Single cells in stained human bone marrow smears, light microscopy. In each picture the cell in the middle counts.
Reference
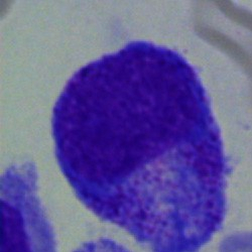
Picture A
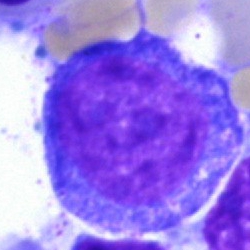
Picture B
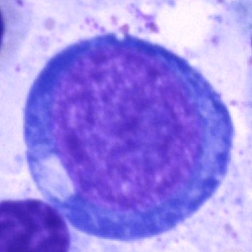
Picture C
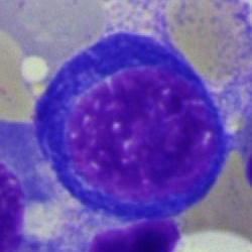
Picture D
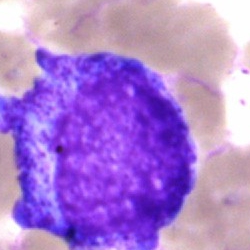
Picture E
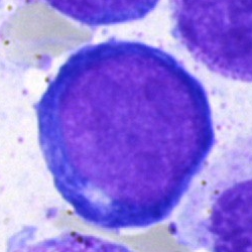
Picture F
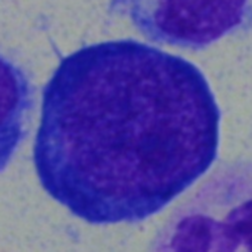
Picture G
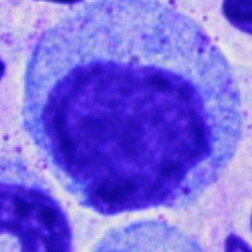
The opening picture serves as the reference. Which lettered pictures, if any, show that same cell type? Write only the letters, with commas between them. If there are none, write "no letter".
D, G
